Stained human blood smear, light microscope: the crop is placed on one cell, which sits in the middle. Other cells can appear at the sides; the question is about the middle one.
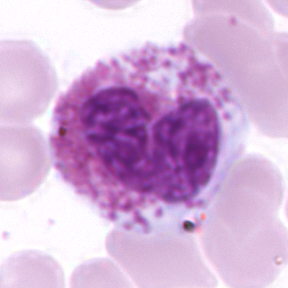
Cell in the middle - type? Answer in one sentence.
The middle of this crop holds an eosinophil.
